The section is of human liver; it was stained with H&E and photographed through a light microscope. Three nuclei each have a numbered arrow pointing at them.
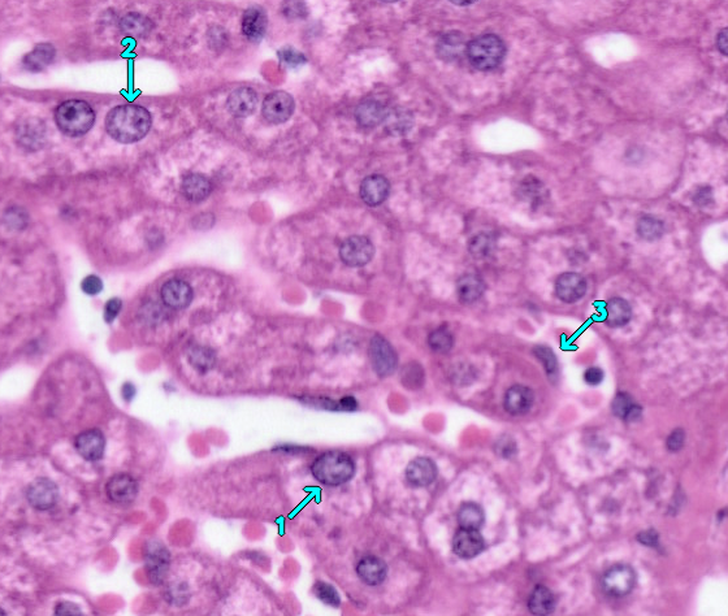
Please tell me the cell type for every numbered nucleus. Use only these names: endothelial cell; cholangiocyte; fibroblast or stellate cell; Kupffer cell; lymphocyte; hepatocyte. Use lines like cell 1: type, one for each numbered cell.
cell 1: hepatocyte
cell 2: hepatocyte
cell 3: Kupffer cell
